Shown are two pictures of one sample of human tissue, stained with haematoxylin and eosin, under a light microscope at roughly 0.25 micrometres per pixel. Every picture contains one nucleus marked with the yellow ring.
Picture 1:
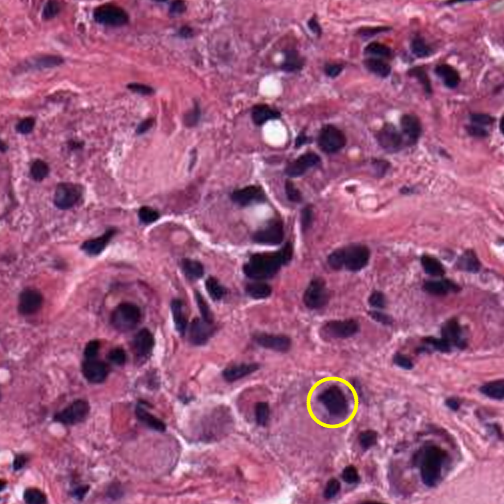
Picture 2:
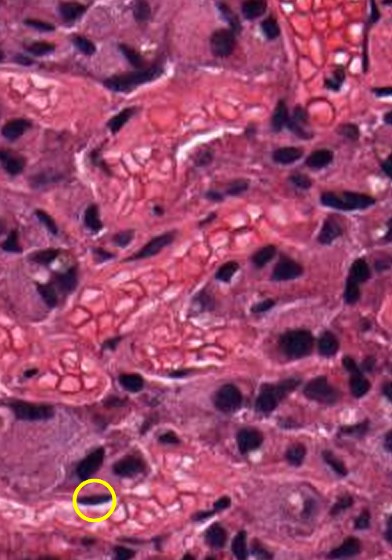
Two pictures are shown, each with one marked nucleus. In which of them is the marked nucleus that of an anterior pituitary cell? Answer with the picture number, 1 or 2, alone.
1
